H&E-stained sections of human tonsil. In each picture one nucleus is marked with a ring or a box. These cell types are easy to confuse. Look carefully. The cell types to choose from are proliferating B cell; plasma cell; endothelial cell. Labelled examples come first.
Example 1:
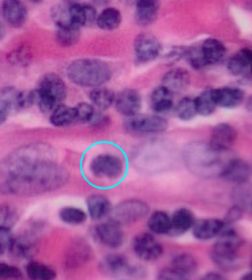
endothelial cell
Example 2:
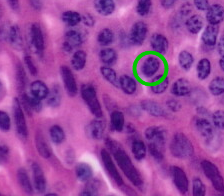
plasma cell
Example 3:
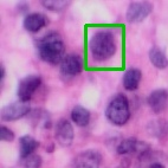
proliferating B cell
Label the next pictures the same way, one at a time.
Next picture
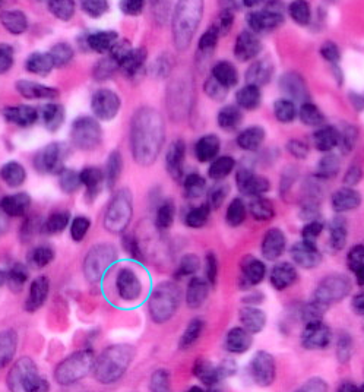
endothelial cell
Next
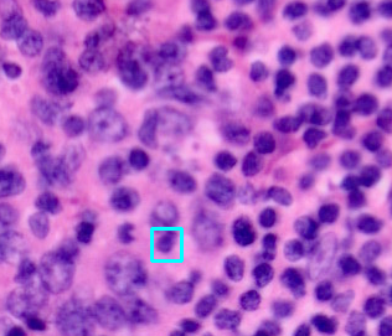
proliferating B cell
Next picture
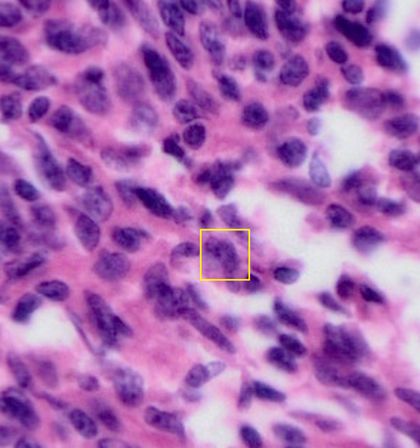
proliferating B cell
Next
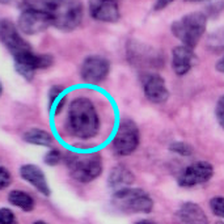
proliferating B cell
